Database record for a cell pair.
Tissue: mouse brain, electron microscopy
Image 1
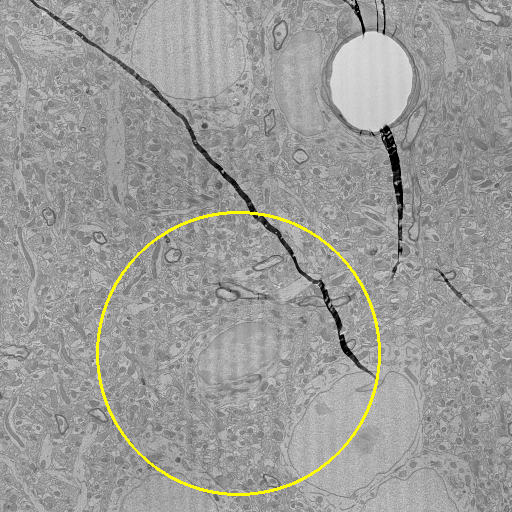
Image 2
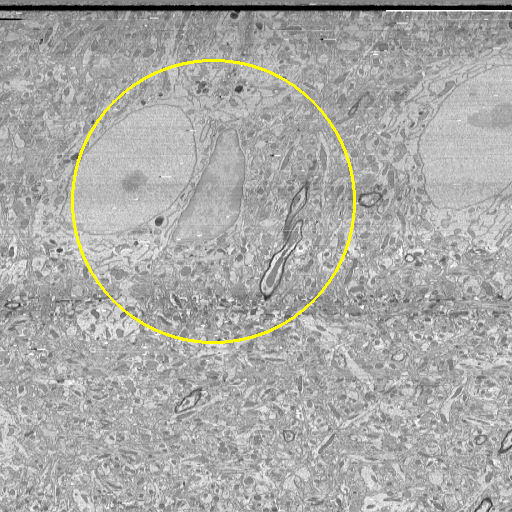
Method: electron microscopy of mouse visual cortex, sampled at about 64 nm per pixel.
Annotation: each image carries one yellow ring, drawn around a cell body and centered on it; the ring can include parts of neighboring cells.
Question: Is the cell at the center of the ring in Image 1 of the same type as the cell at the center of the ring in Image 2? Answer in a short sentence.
Yes, the cells are of the same type.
